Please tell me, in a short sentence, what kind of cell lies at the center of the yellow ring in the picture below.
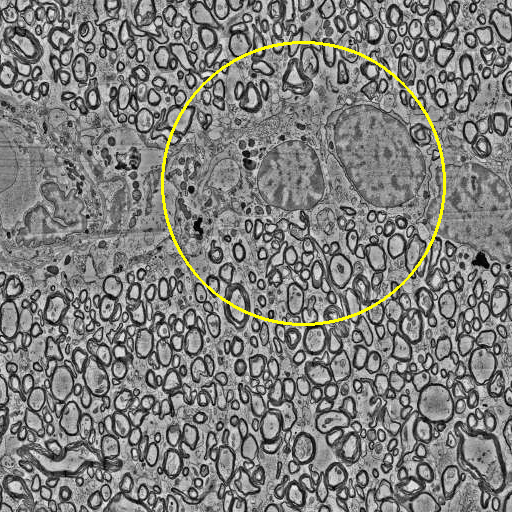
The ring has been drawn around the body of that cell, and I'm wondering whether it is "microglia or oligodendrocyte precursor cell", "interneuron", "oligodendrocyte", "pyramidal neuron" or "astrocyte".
The cell at the center of the ring is a microglial cell or oligodendrocyte precursor cell.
